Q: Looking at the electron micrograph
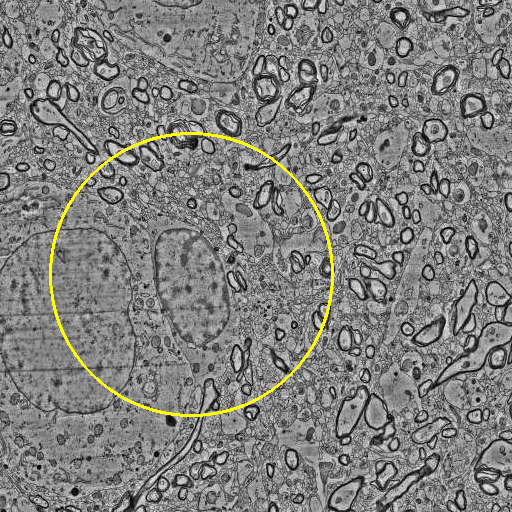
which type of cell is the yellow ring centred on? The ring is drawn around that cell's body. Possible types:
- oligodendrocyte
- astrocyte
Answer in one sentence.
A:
The yellow ring is centred on an oligodendrocyte.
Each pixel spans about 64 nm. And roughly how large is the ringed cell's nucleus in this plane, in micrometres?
In this plane the nucleus is clearly longer than it is wide, at approximately 8 by 5 micrometres.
